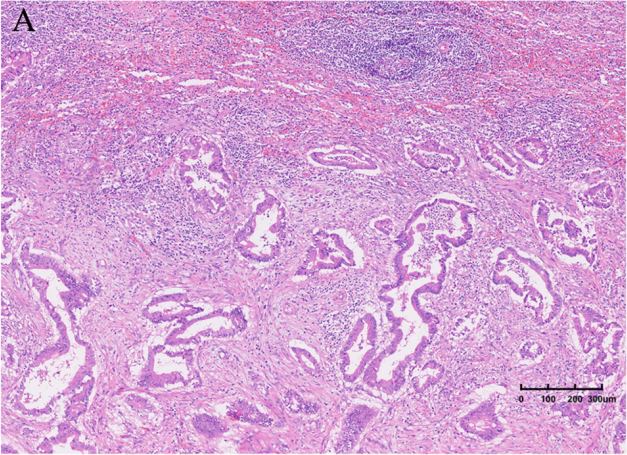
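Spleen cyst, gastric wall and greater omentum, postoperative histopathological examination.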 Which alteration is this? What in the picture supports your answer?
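Irregular, angulated glands of varying size and shape lie scattered in the stroma. The glands are lined by columnar cells with crowded, dark nuclei. Some glands contain luminal debris. That points to this answer: atypical irregular glandular epithelium.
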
